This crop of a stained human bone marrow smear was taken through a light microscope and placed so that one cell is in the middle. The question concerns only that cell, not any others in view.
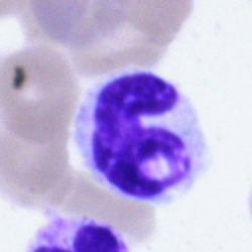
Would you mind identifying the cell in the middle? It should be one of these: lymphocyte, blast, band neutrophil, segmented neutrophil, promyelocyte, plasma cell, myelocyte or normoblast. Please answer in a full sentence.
The cell at the centre of the field is a segmented neutrophil.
